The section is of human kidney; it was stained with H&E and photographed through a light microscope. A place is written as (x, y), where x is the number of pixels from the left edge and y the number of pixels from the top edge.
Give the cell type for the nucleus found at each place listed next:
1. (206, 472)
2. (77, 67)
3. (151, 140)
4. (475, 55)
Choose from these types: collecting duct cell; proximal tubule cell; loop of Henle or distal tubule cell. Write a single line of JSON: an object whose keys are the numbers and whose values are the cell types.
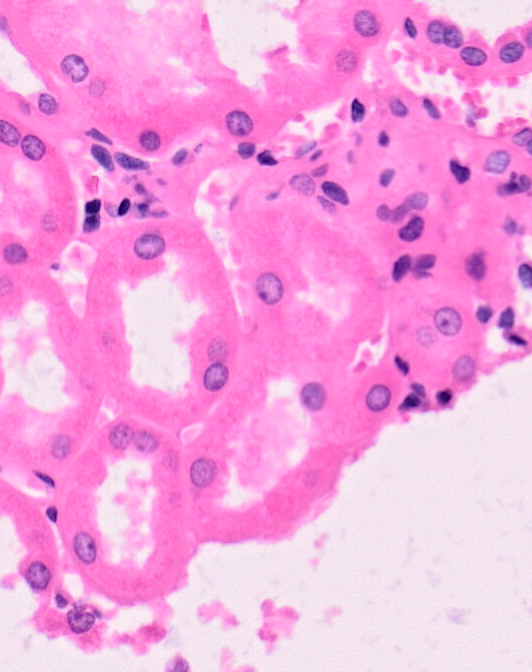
{"1": "proximal tubule cell", "2": "proximal tubule cell", "3": "proximal tubule cell", "4": "loop of Henle or distal tubule cell"}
